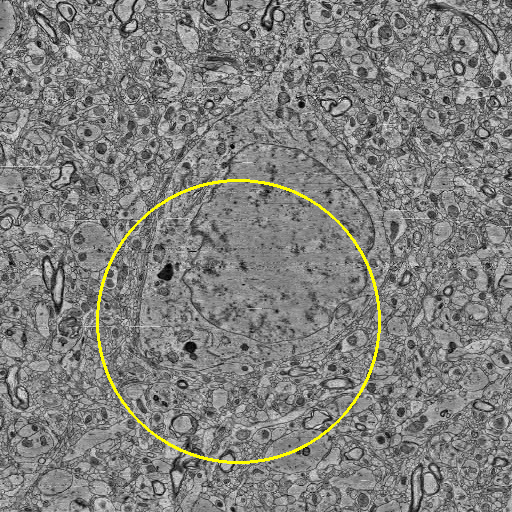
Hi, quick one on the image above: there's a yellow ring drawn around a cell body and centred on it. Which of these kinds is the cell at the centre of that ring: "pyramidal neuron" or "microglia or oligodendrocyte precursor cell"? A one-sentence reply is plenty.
The cell at the centre of the ring is a pyramidal neuron.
